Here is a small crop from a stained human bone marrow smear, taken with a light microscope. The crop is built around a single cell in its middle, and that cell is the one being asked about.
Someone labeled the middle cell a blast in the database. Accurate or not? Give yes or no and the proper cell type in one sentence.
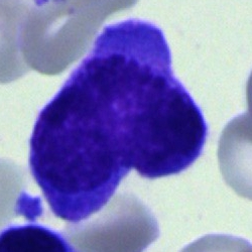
Yes, the cell under consideration, the one in the middle, is a blast.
